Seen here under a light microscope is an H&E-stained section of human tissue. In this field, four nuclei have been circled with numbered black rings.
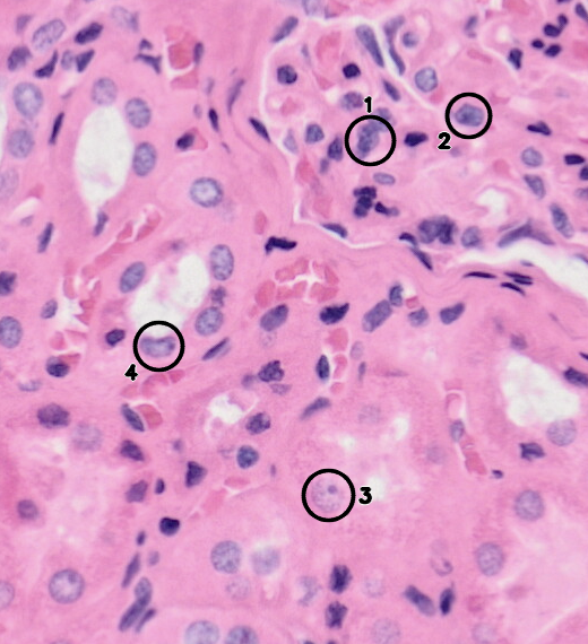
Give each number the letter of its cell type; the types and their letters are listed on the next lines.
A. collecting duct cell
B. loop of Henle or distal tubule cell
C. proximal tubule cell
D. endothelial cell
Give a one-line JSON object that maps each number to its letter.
{"1": "D", "2": "D", "3": "C", "4": "B"}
